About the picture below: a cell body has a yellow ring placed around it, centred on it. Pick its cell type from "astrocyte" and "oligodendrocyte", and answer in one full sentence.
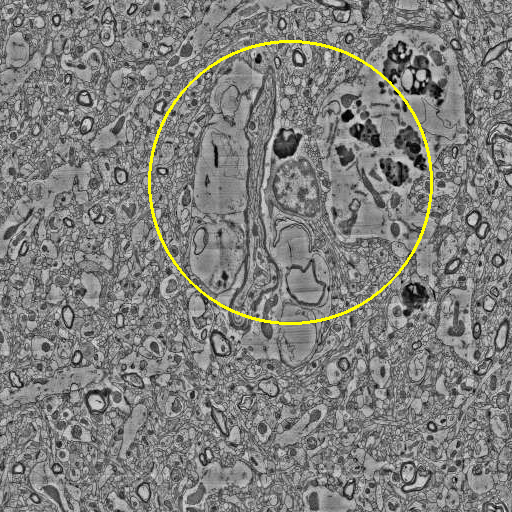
In the picture, an oligodendrocyte is the cell sitting at the centre of the yellow ring.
